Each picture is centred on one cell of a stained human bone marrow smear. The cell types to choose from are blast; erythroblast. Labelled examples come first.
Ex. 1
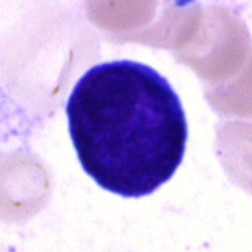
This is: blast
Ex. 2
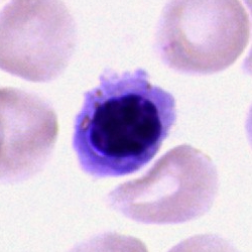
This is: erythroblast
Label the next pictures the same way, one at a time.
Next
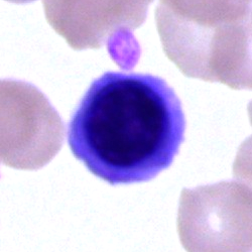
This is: erythroblast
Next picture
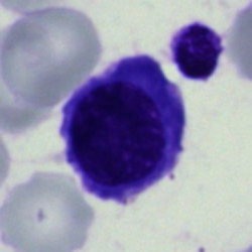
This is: erythroblast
